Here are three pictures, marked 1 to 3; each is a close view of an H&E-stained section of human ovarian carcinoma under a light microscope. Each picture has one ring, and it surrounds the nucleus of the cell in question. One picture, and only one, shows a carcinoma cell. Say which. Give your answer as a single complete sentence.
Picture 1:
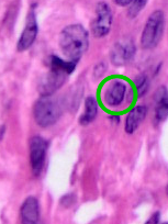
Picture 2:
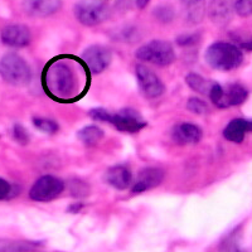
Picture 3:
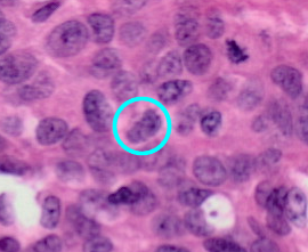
The carcinoma cell is the one in picture 2.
